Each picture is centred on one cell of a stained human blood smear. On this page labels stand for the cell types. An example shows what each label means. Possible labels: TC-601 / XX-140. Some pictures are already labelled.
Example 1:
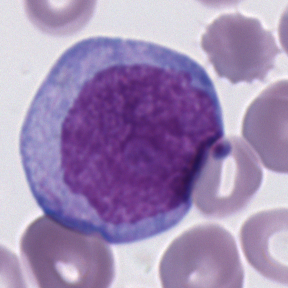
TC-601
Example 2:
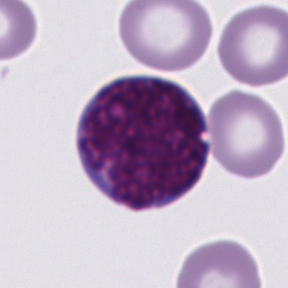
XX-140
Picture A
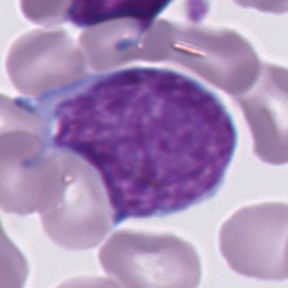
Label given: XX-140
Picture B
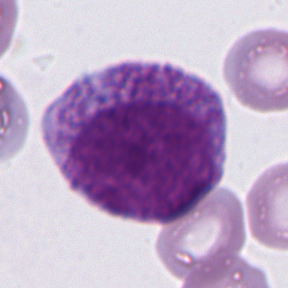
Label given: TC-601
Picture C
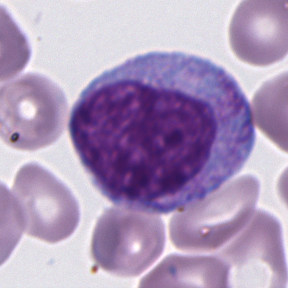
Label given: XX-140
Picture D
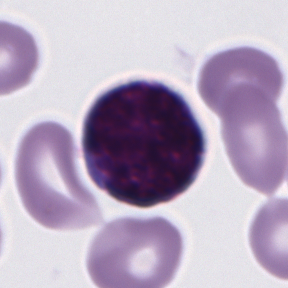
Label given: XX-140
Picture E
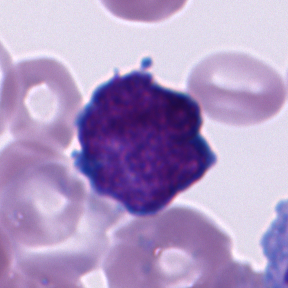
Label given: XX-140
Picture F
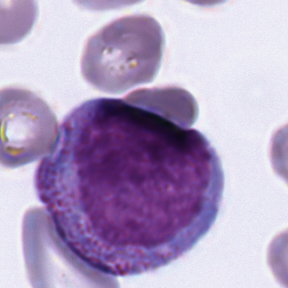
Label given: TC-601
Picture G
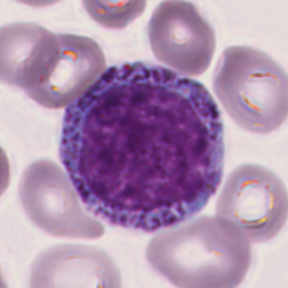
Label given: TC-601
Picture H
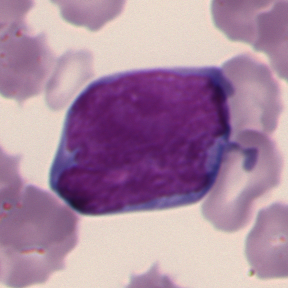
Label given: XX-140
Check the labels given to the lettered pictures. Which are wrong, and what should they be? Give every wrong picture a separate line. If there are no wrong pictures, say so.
C is labelled XX-140; correct label: TC-601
